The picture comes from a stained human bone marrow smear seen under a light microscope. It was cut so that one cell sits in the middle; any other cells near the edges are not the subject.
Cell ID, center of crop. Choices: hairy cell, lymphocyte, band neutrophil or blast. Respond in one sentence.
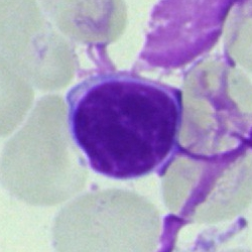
The cell the crop is centered on is a lymphocyte.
